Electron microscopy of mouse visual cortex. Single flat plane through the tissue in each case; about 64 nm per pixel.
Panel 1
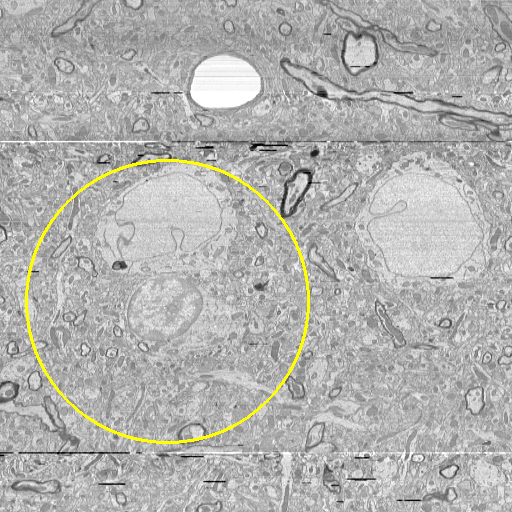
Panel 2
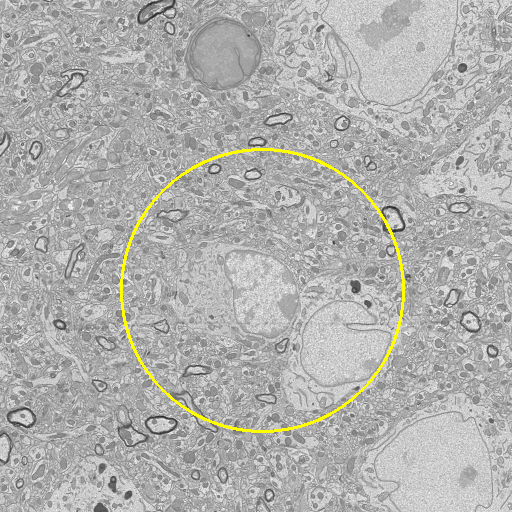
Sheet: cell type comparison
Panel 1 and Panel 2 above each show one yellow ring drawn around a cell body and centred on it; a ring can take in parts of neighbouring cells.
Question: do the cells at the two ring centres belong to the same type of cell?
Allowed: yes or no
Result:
yes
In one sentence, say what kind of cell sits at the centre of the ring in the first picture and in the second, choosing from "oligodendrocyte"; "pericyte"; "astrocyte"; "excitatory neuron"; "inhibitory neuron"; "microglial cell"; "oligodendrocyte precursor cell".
Each one of the two ringed cells is an oligodendrocyte.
